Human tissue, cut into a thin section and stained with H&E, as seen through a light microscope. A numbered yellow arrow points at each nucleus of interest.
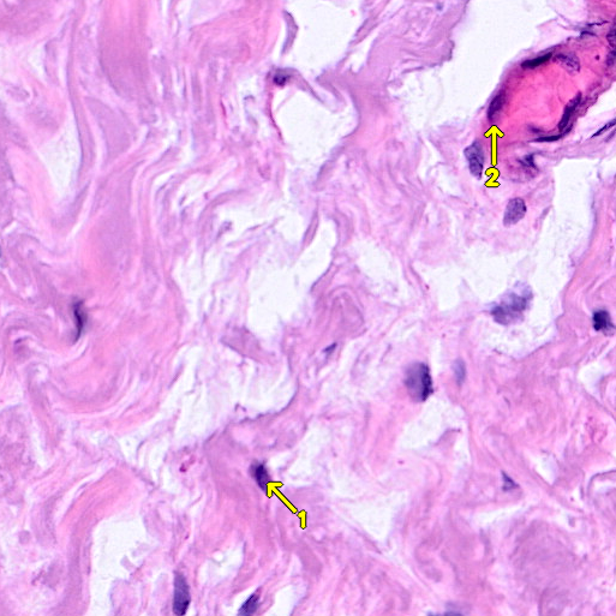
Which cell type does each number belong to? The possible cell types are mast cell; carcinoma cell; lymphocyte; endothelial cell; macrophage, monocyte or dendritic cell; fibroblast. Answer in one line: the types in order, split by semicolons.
fibroblast; endothelial cell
